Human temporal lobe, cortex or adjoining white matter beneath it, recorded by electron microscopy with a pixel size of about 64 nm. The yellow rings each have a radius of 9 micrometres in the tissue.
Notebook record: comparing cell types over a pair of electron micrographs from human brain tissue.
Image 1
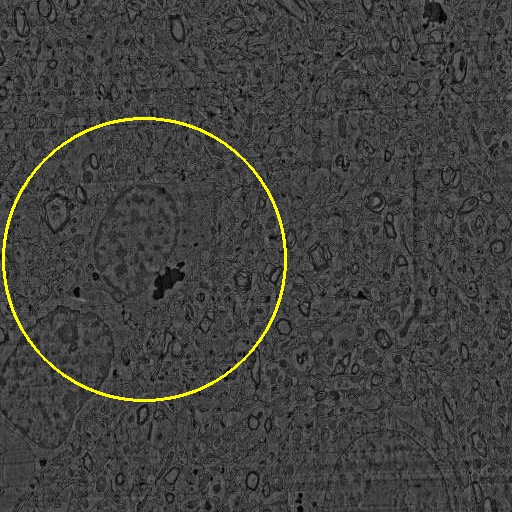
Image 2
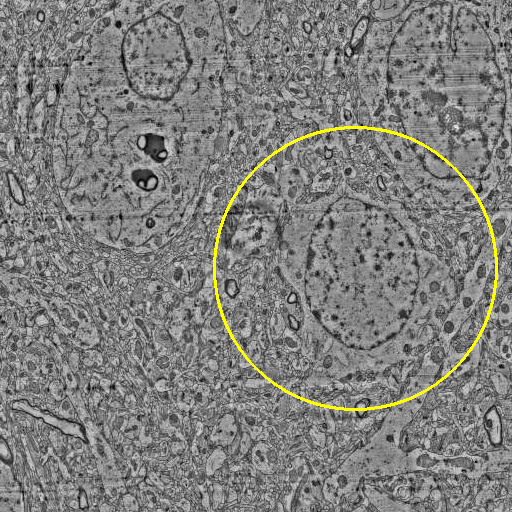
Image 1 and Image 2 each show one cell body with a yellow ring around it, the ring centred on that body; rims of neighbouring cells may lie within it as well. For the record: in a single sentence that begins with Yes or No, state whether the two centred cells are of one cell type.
No, two cell types are found among the centred cells of Image 1 and Image 2.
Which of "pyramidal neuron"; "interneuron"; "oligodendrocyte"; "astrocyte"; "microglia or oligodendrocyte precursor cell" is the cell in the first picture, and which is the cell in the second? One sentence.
The two differ: the first cell is an oligodendrocyte and the second is an astrocyte.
